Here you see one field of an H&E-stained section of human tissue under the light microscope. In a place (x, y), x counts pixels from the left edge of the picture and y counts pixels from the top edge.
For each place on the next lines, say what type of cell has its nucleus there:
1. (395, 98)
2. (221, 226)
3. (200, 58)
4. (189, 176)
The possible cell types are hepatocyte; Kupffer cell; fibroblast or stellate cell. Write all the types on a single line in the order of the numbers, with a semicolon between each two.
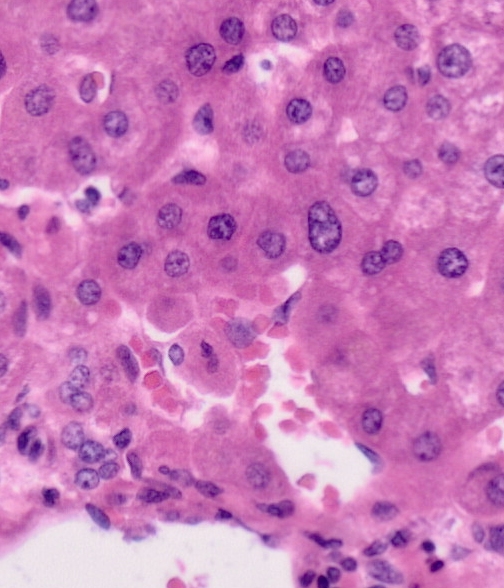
hepatocyte; hepatocyte; hepatocyte; fibroblast or stellate cell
